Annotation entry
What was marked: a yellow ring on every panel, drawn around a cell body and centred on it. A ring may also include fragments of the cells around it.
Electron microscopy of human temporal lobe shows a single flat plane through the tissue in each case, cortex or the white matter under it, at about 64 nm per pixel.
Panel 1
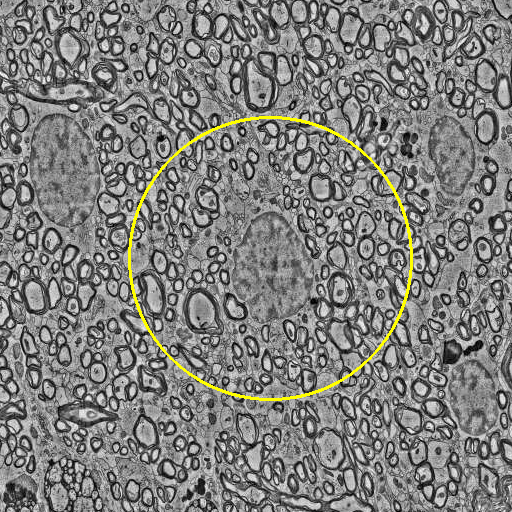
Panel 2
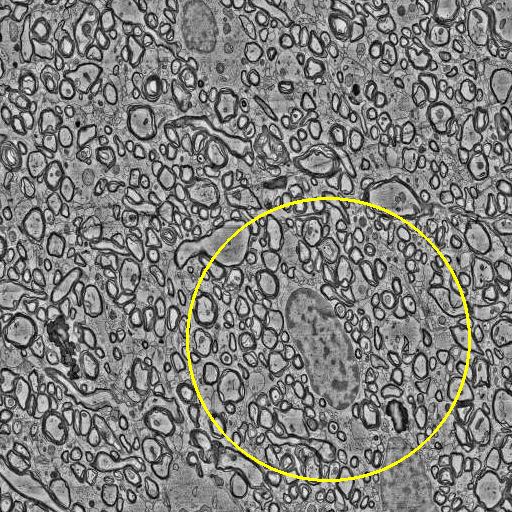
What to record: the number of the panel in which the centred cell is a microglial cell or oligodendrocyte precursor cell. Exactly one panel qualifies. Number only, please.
2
